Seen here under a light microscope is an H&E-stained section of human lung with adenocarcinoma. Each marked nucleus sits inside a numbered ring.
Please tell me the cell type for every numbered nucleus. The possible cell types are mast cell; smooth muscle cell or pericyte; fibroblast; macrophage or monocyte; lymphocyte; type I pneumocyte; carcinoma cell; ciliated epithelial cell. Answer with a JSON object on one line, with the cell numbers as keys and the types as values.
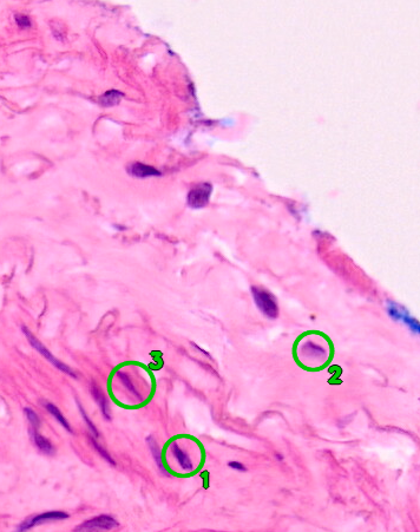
{"1": "smooth muscle cell or pericyte", "2": "fibroblast", "3": "smooth muscle cell or pericyte"}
